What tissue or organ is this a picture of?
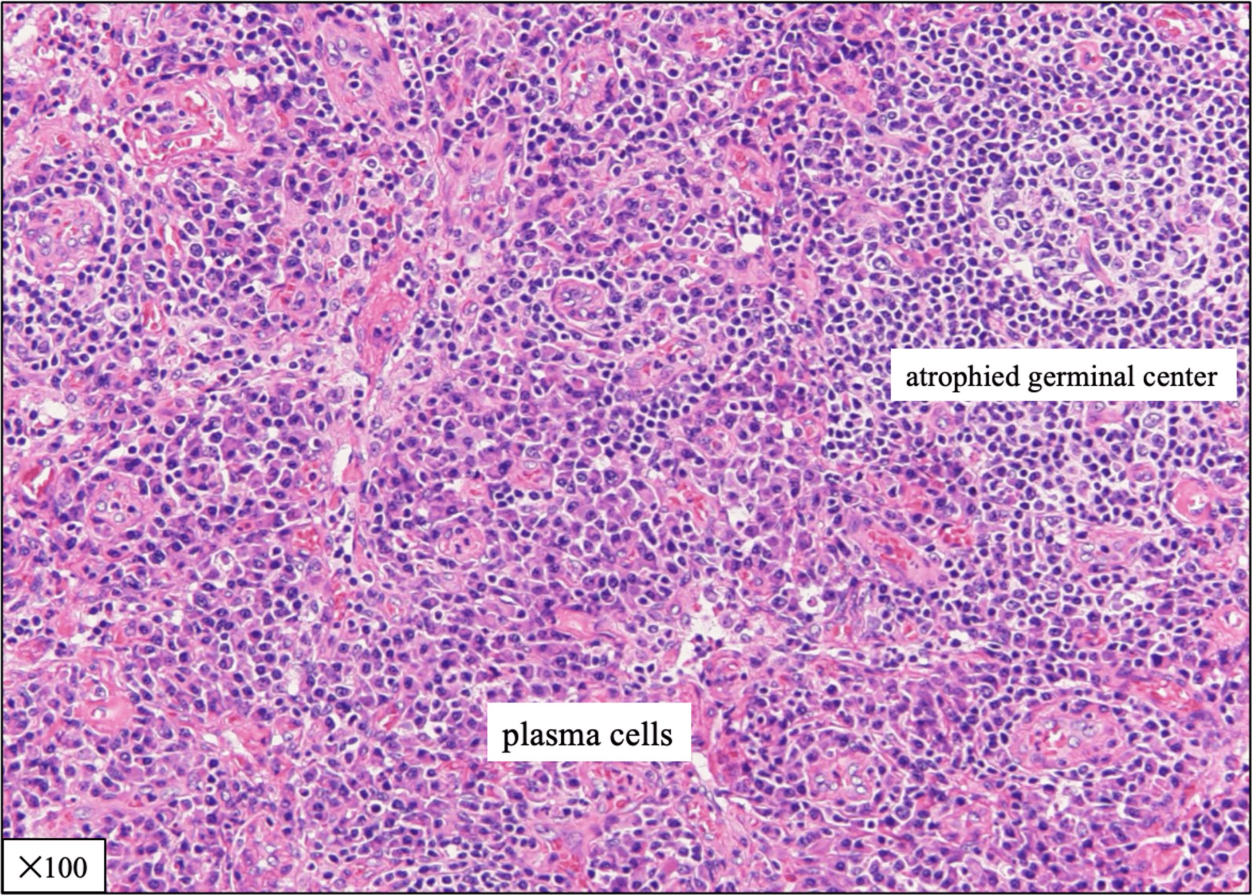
lymph node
